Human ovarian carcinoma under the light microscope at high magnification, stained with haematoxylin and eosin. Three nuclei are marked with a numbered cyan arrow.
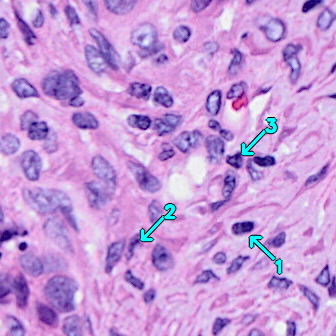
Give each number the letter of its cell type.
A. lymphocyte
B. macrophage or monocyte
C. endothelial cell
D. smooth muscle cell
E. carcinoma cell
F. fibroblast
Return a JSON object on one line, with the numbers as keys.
{"1": "A", "2": "F", "3": "A"}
